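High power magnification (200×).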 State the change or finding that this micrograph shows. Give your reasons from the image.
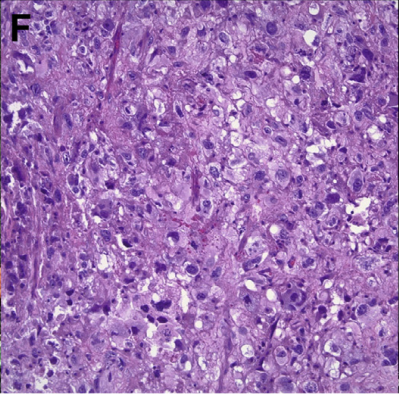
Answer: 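Nuclei vary widely in size and shape. Many nuclei are enlarged and darkly stained. Some nuclei show prominent nucleoli. The answer: marked nuclear atypia.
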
